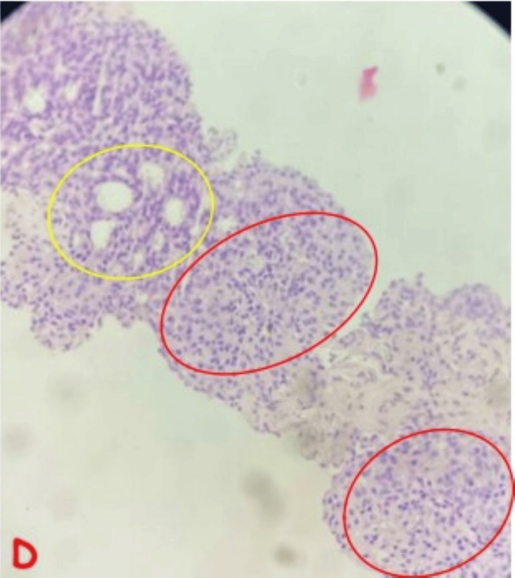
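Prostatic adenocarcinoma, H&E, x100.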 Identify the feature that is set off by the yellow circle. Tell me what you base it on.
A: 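The circle holds a cell mass with several larger clear round spaces. The spaces are of irregular size within one cell mass. On this evidence: large irregular cribriform glands with well-formed lumina.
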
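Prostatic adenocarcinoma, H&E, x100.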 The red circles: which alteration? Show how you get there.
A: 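Inside the circles cells lie in solid sheets with no glandular spaces. The nuclei are crowded and purple.
Hence: sheets of atypical cells.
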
